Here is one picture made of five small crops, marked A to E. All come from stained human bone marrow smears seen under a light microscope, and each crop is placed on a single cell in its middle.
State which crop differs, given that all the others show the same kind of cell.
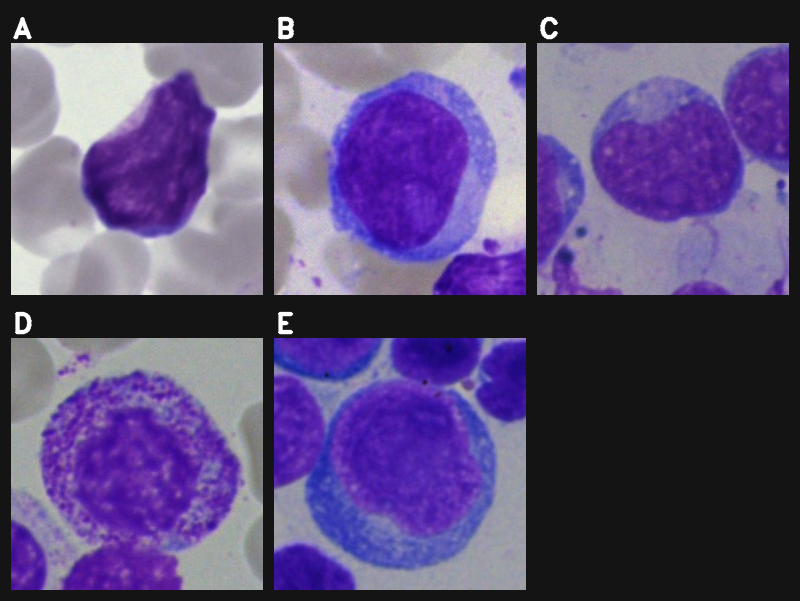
D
